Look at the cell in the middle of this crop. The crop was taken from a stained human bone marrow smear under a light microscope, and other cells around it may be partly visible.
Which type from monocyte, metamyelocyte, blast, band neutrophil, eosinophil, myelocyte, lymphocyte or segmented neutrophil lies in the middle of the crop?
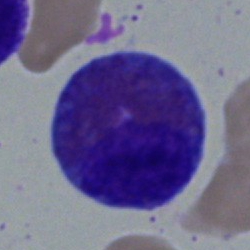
eosinophil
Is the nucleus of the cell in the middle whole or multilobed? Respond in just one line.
The cell carries one compact nucleus shaped round, oval or like a kidney.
